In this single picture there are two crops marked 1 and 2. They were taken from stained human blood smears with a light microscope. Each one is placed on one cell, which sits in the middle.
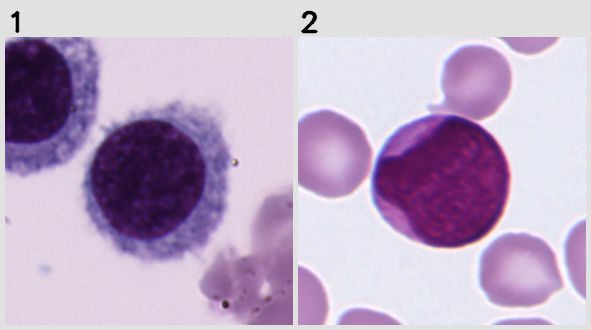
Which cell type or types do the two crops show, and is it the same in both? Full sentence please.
No, crop 1 represents a hairy cell, and crop 2 represents a myeloblast.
